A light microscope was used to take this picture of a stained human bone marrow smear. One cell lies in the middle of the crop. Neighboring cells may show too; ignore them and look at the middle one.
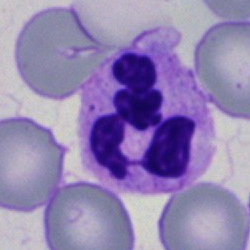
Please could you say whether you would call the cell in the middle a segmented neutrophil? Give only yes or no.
yes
